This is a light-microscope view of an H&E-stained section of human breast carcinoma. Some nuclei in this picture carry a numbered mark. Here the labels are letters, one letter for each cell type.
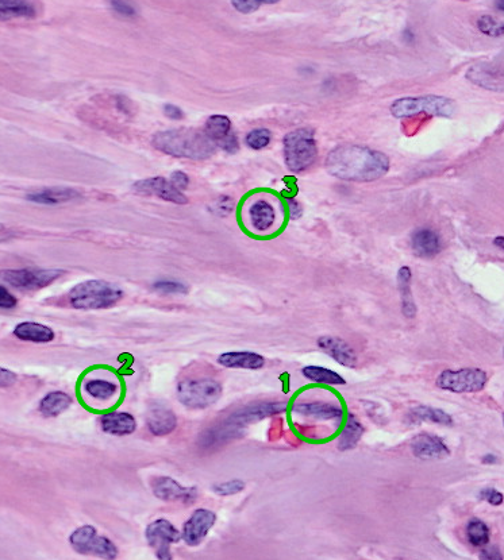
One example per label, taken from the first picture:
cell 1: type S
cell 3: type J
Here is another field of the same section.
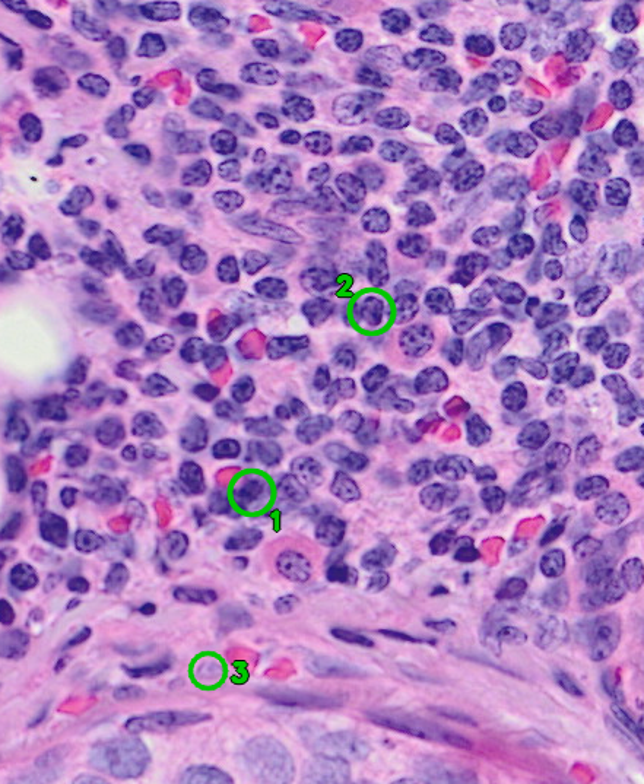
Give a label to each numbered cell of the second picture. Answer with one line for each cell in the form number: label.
1: type J
2: type J
3: type S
